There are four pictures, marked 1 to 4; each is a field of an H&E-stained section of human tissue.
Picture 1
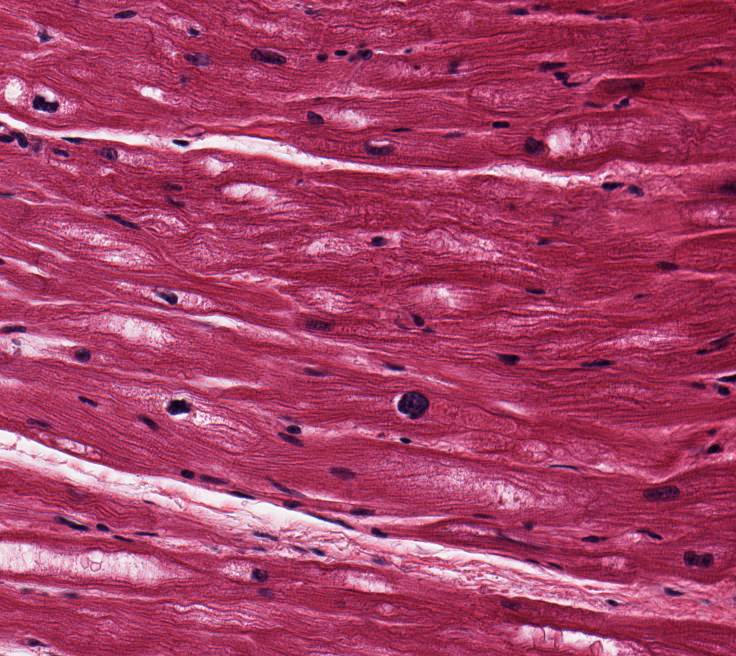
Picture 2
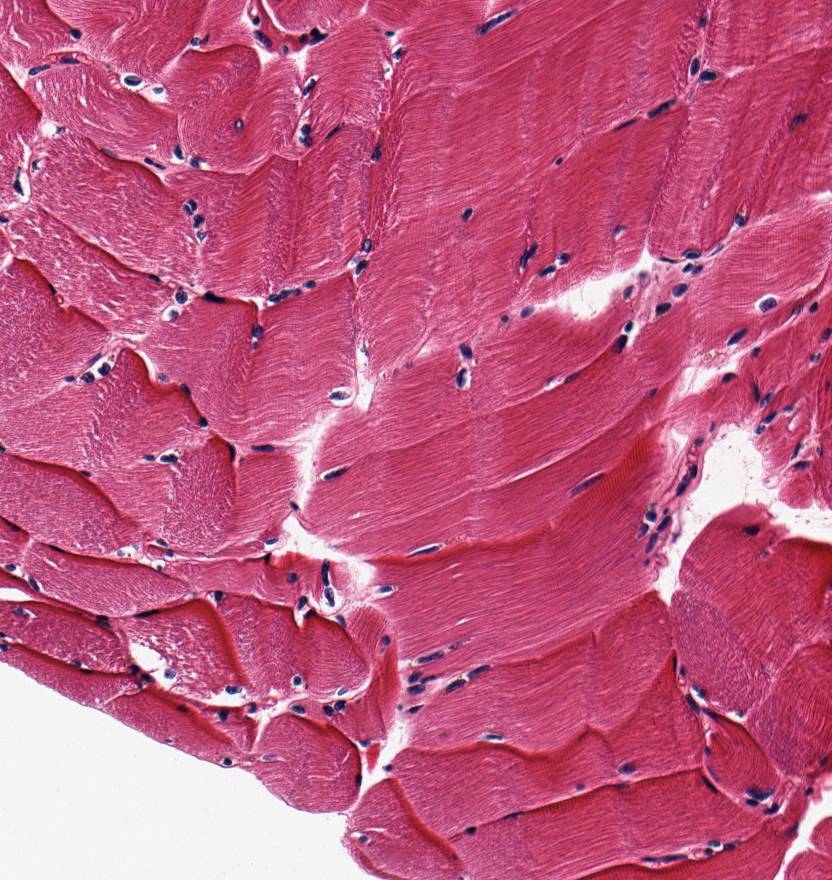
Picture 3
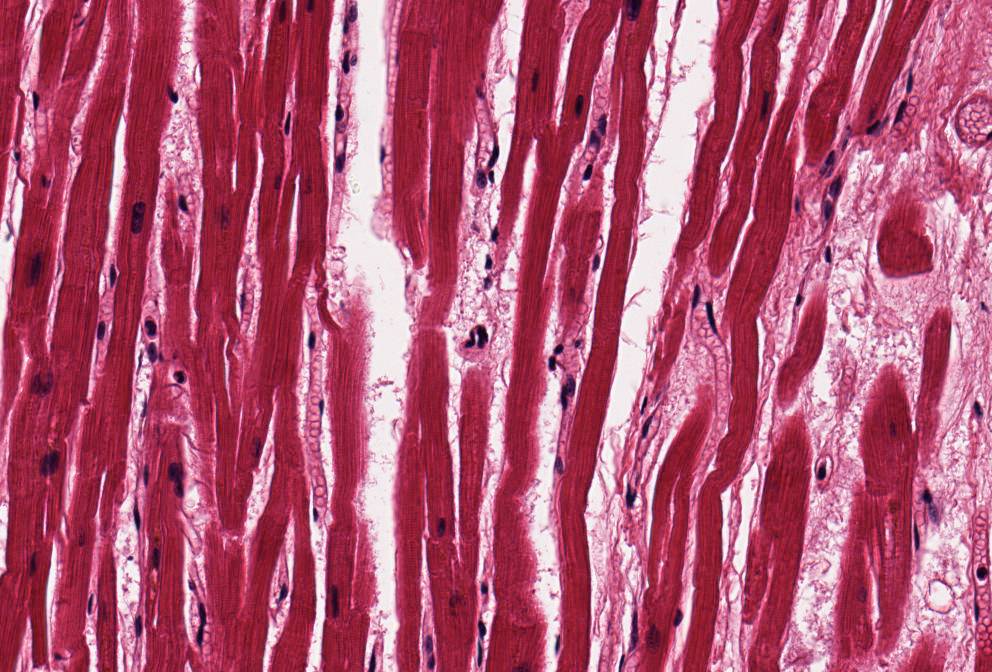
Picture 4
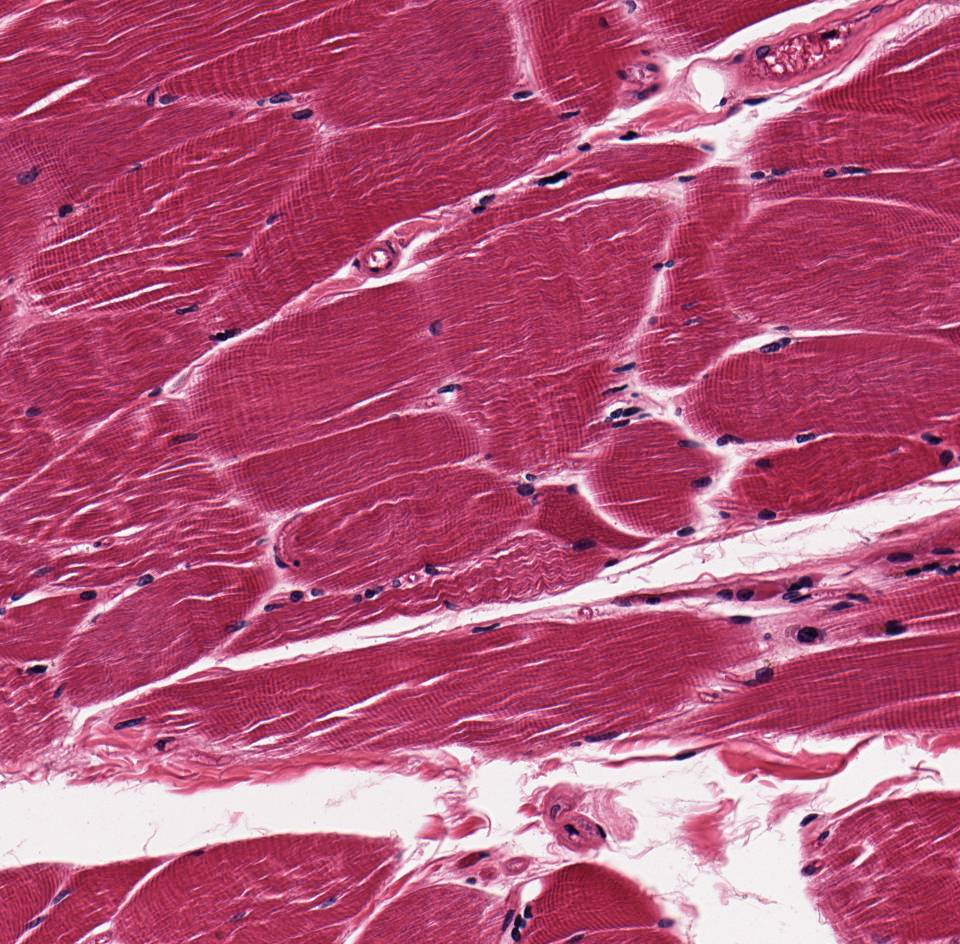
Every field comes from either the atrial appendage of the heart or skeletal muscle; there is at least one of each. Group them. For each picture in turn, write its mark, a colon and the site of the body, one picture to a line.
1: atrial appendage of the heart
2: skeletal muscle
3: atrial appendage of the heart
4: skeletal muscle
